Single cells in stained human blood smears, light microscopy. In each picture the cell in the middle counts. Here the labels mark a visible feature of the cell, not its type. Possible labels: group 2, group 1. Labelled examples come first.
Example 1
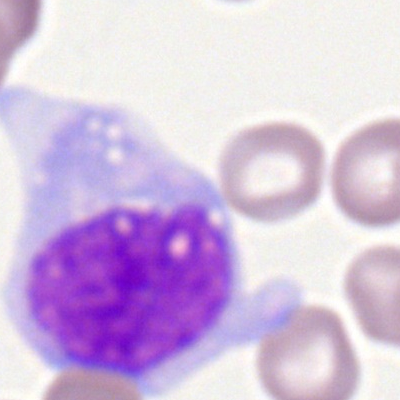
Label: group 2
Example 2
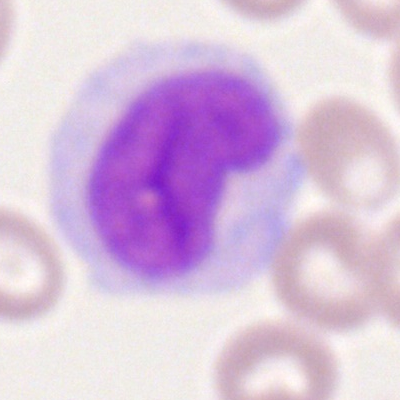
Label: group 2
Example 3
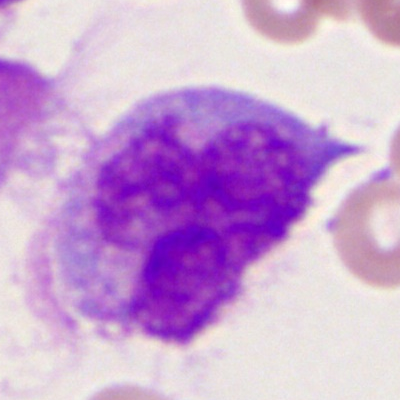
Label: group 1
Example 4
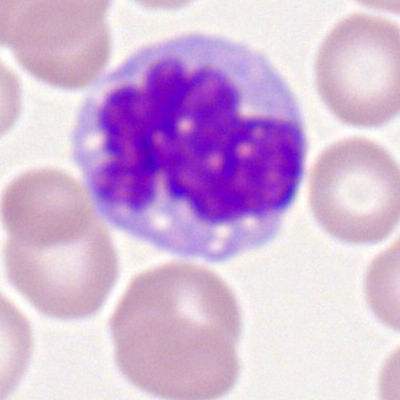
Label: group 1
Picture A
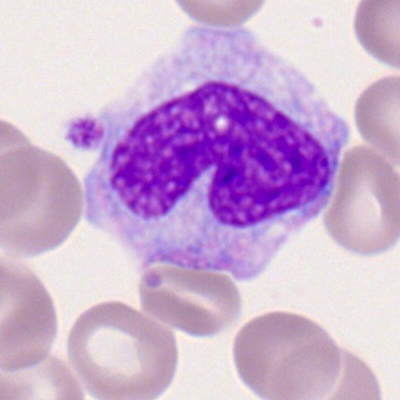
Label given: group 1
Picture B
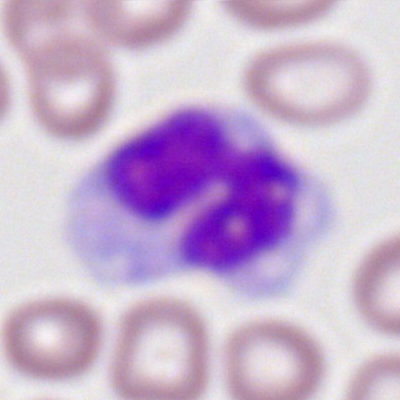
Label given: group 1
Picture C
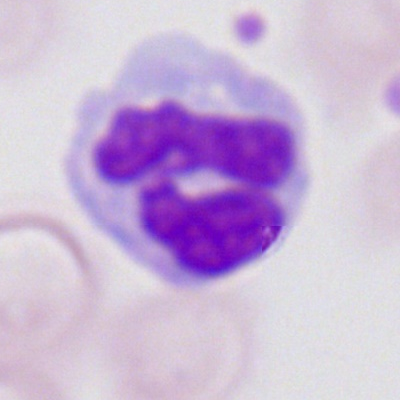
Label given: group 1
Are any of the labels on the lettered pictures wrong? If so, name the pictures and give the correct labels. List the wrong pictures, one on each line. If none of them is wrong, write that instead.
A should be group 2, not group 1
